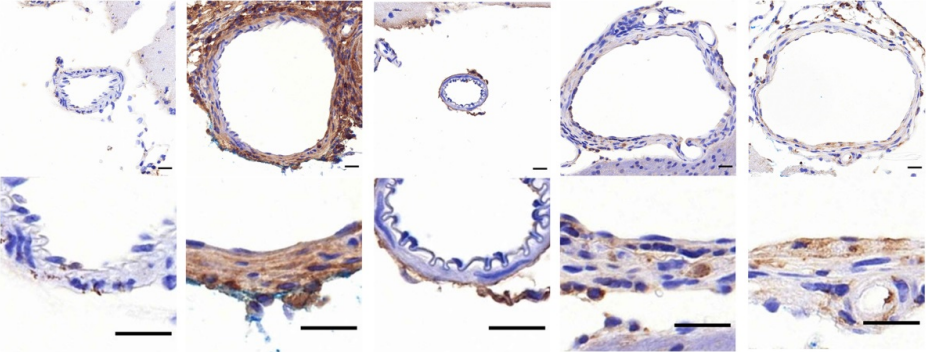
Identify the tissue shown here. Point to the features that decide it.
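Round vessel profiles with an open lumen. A layered wall of elongated cells encircles each lumen. On this evidence: arterial walls.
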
